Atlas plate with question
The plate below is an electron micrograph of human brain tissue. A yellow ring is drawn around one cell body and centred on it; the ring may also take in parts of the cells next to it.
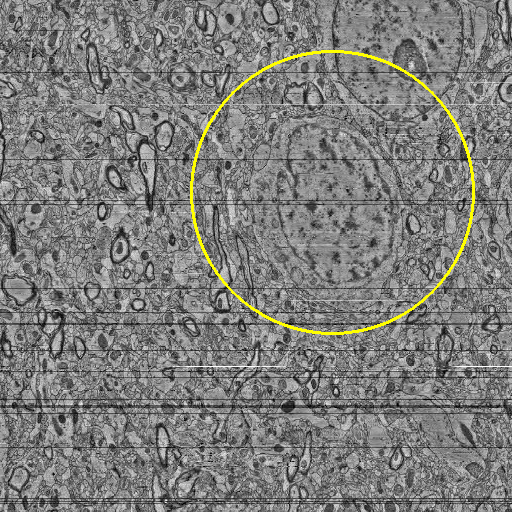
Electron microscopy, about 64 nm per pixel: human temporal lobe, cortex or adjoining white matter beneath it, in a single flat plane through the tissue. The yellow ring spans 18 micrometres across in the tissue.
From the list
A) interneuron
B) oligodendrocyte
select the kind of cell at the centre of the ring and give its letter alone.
A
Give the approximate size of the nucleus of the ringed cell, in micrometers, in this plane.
The nucleus is approximately 11 micrometers long by 7 micrometers wide in this plane.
